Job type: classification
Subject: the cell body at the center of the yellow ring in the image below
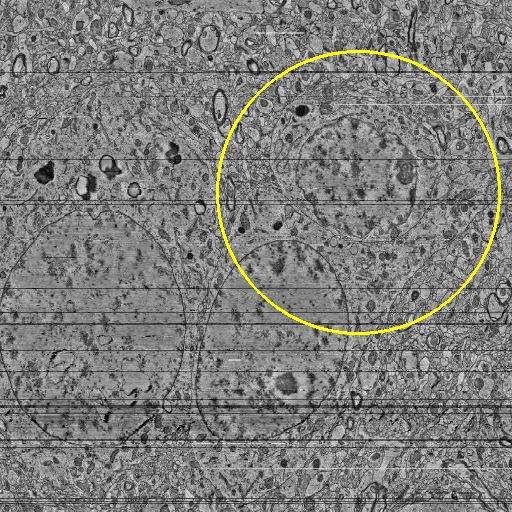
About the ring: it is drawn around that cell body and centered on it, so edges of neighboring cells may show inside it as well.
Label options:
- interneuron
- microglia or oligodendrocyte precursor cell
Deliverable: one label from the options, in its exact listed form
interneuron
